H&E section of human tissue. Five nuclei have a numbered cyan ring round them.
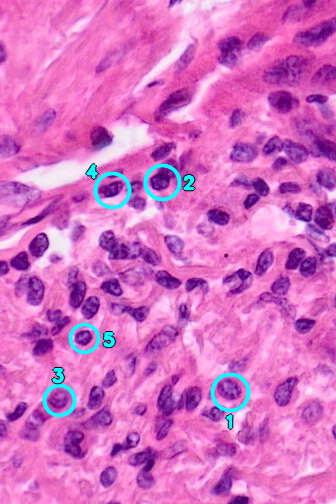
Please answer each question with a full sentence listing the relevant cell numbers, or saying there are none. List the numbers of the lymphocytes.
The cells that have numbers 2, 4 and 5 are lymphocytes.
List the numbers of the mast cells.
Cell 1, and no other numbered cell, is a mast cell.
